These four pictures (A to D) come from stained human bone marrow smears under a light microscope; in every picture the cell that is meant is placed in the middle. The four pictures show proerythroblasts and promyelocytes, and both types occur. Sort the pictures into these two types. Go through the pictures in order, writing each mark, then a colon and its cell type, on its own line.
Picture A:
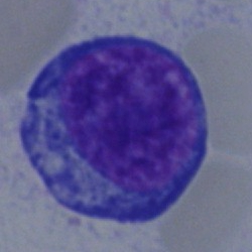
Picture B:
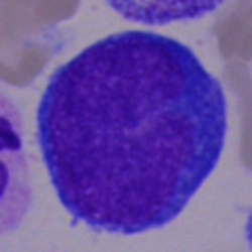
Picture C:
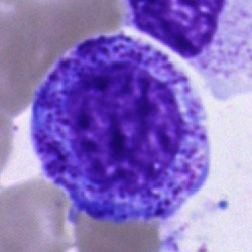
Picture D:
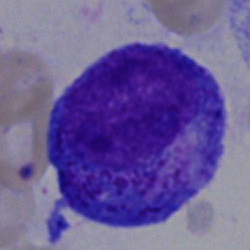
A: proerythroblast
B: proerythroblast
C: promyelocyte
D: promyelocyte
